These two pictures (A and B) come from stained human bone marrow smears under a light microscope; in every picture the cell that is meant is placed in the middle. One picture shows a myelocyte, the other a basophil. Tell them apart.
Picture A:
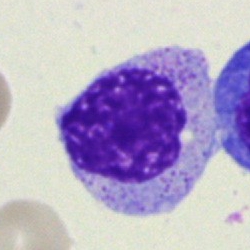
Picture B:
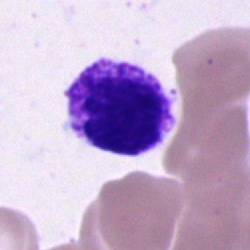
A: myelocyte
B: basophil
